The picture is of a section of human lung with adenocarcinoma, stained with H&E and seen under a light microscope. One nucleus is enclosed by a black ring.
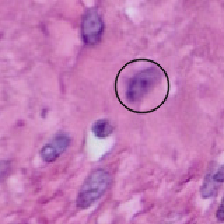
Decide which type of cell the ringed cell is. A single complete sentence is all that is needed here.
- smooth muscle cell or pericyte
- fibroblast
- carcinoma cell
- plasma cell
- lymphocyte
By cell type, the ringed cell is a fibroblast.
